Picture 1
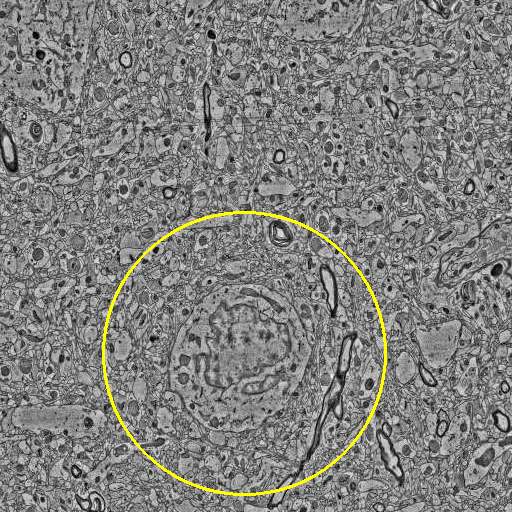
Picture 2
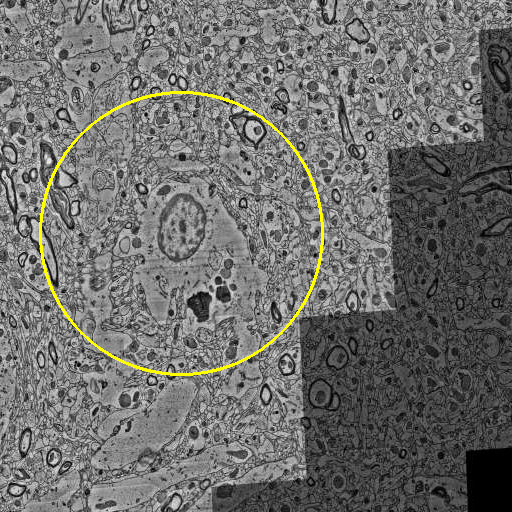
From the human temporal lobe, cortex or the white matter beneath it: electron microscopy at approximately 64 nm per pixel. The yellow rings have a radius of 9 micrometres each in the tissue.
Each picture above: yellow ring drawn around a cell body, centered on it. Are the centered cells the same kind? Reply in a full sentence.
No, the two cells are two kinds of cell.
